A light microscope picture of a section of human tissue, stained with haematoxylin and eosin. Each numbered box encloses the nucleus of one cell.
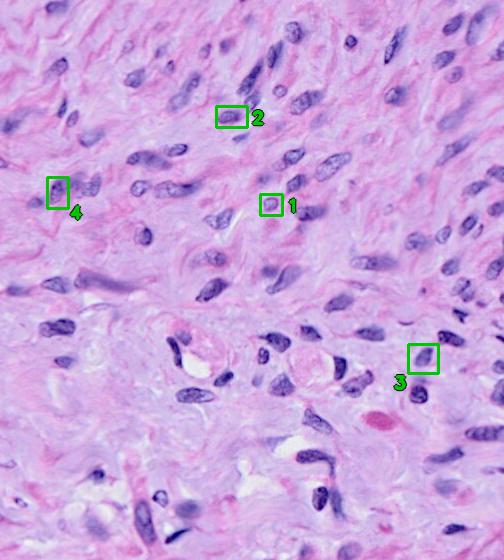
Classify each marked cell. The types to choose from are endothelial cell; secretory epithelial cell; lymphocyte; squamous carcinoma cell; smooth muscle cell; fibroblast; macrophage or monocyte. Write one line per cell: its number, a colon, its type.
1: smooth muscle cell
2: smooth muscle cell
3: fibroblast
4: smooth muscle cell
